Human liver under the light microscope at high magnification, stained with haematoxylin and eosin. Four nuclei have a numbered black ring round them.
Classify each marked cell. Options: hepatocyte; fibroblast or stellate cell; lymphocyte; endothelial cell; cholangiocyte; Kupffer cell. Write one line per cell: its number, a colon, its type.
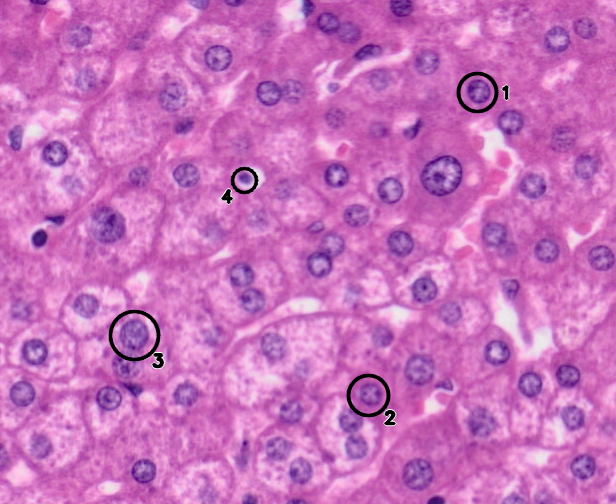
1: hepatocyte
2: hepatocyte
3: hepatocyte
4: lymphocyte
